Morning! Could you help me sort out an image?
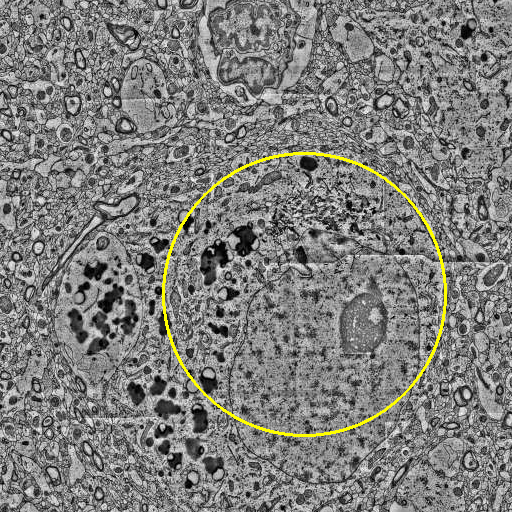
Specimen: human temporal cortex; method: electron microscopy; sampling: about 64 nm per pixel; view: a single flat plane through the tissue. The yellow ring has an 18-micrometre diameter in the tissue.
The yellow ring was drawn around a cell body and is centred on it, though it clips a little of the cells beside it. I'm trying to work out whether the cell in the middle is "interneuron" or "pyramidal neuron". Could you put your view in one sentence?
The ringed cell body is that of a pyramidal neuron.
